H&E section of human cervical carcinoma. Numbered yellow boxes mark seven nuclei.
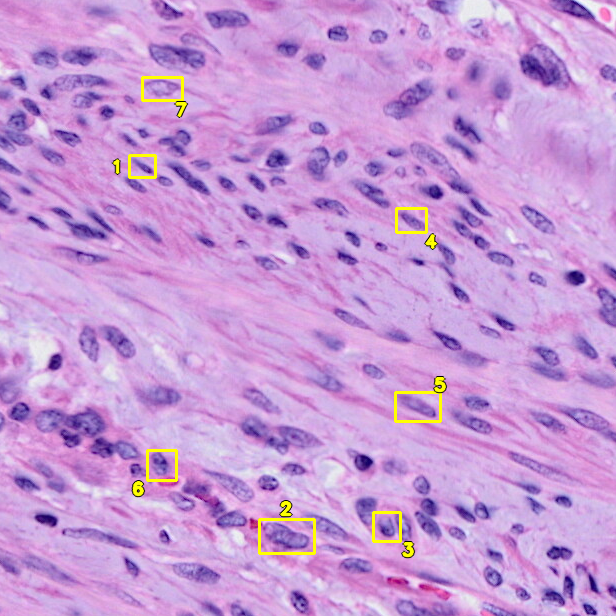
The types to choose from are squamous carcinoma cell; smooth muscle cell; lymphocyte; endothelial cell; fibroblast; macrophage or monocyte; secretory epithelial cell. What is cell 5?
smooth muscle cell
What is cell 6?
endothelial cell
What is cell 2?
endothelial cell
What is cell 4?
smooth muscle cell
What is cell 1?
smooth muscle cell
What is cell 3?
endothelial cell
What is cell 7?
smooth muscle cell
